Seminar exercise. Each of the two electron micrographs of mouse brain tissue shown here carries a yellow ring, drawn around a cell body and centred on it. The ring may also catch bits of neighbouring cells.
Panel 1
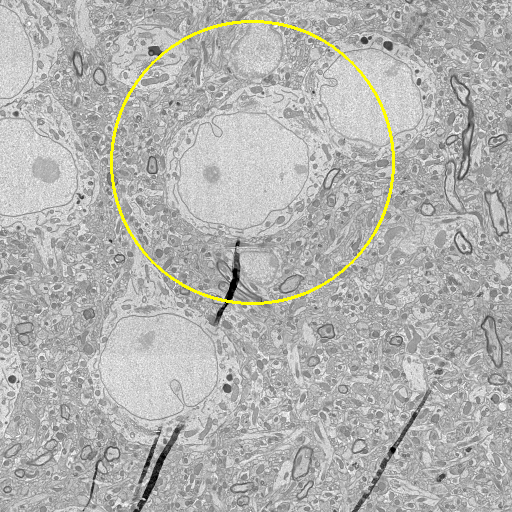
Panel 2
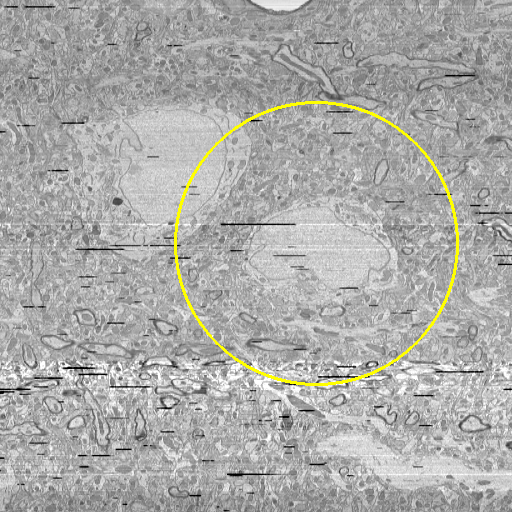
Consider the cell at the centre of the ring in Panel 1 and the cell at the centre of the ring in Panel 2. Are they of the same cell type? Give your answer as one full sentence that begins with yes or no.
No, the two cells are of two types.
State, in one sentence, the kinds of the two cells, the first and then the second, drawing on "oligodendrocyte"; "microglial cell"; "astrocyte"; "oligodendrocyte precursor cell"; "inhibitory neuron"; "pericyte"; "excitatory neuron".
The ring in the second picture is centred on an inhibitory neuron, the ring in the first on an excitatory neuron.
